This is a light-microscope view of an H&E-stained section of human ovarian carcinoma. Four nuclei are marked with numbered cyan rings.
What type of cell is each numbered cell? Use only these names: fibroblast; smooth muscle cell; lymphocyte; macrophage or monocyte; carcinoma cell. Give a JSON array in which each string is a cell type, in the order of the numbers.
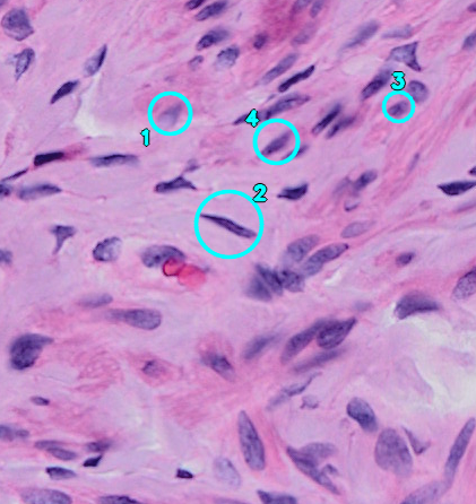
["smooth muscle cell", "fibroblast", "smooth muscle cell", "smooth muscle cell"]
